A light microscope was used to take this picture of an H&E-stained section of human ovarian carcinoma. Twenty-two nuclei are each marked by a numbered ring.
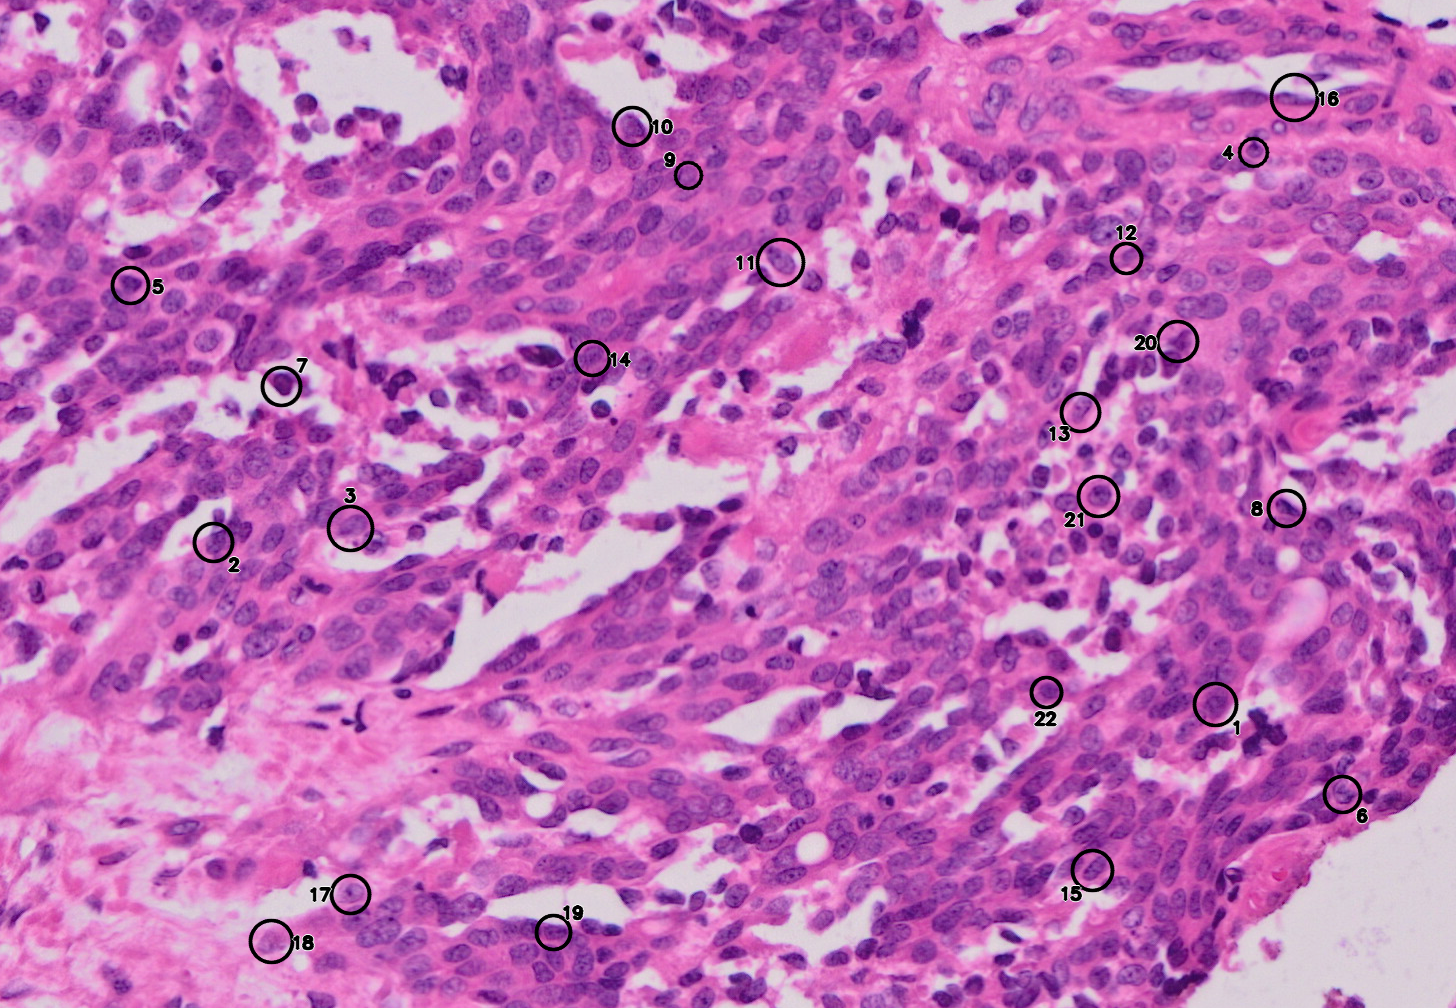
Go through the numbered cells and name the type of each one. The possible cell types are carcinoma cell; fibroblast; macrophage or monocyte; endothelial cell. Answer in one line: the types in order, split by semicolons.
carcinoma cell; carcinoma cell; carcinoma cell; macrophage or monocyte; carcinoma cell; macrophage or monocyte; carcinoma cell; macrophage or monocyte; carcinoma cell; carcinoma cell; macrophage or monocyte; carcinoma cell; macrophage or monocyte; carcinoma cell; macrophage or monocyte; endothelial cell; macrophage or monocyte; fibroblast; carcinoma cell; carcinoma cell; macrophage or monocyte; carcinoma cell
